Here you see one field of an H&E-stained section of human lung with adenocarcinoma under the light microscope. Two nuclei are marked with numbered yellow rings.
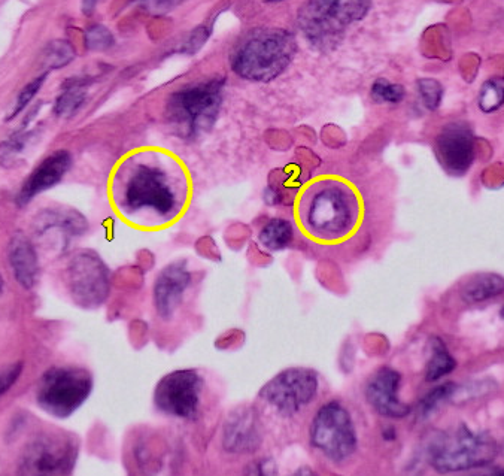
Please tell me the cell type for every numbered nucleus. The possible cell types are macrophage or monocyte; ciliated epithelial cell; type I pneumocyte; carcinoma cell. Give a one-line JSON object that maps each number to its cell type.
{"1": "carcinoma cell", "2": "macrophage or monocyte"}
